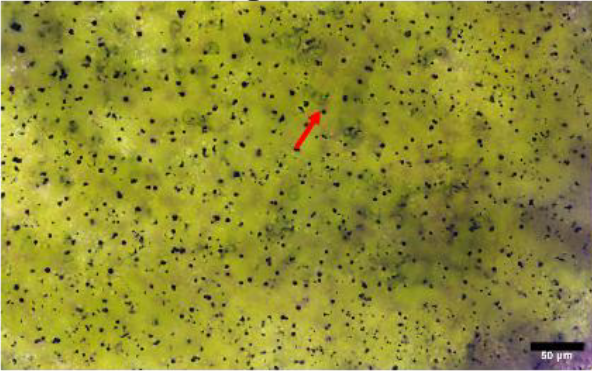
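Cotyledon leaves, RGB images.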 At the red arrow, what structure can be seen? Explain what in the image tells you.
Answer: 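Anthocyanin Vacuolar Inclusions. Many small dark purple to black dots are scattered across the yellow-green tissue. The red arrow points at one of these dark dots.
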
